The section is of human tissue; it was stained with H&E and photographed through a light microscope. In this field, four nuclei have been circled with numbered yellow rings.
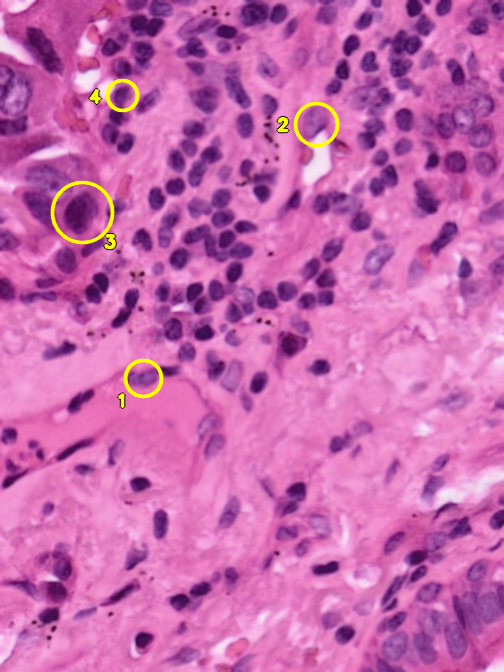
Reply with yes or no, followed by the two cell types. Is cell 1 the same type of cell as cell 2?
Yes, cells 1 and 2 are, both of them, endothelial cells.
